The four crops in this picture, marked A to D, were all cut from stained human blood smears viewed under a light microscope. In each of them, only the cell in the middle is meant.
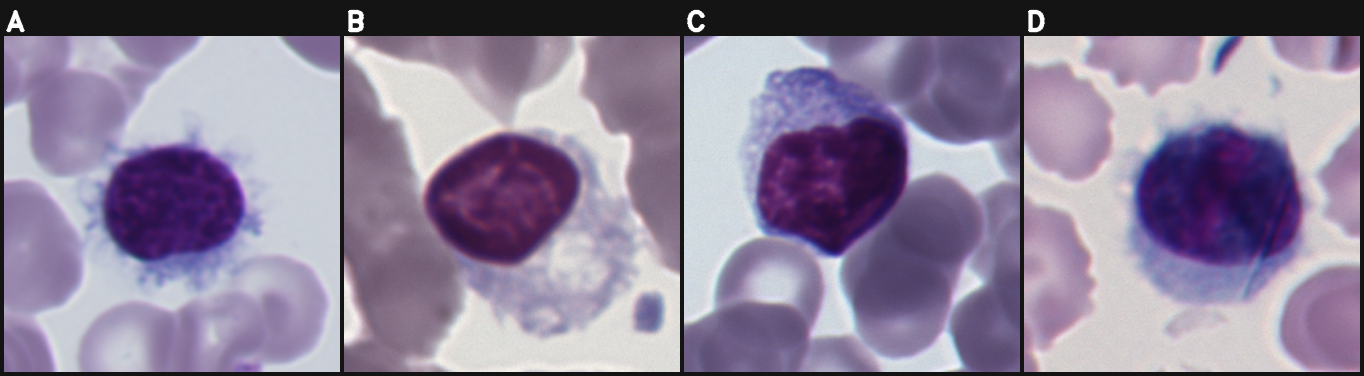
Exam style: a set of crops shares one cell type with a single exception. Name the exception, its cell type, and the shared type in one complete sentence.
Crop C is not like the others: it is a typical lymphocyte, and they are hairy cells.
